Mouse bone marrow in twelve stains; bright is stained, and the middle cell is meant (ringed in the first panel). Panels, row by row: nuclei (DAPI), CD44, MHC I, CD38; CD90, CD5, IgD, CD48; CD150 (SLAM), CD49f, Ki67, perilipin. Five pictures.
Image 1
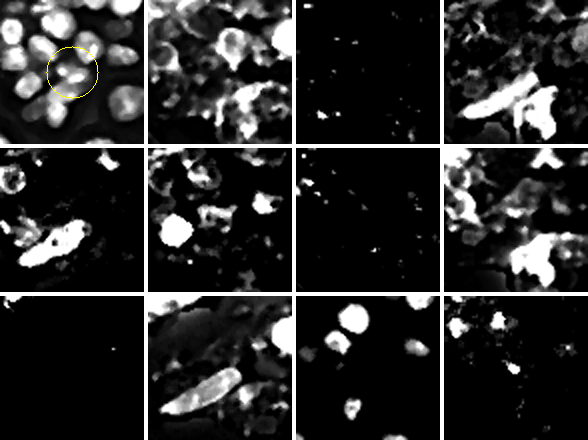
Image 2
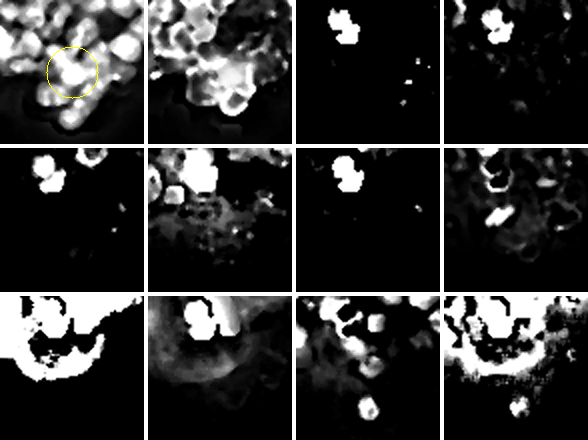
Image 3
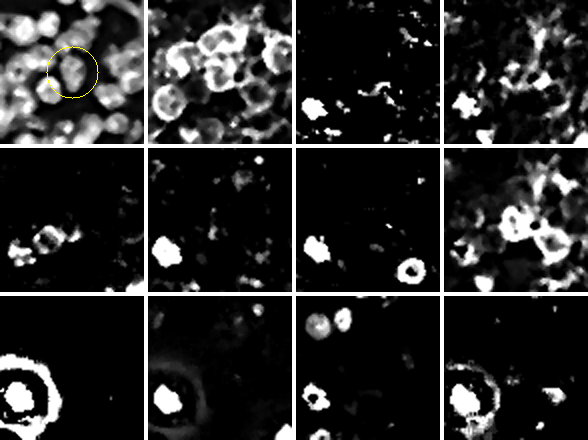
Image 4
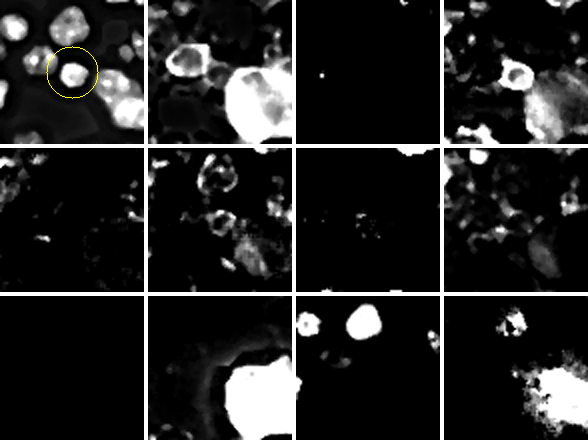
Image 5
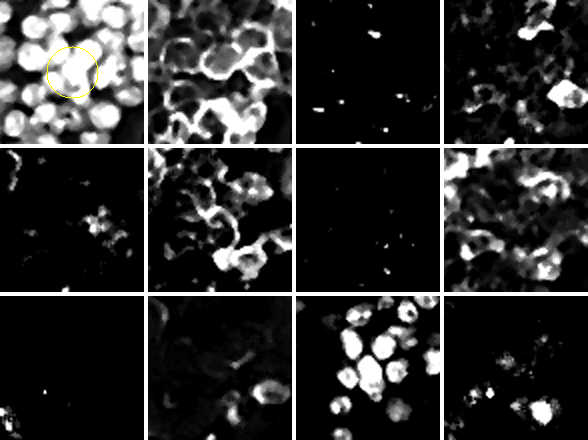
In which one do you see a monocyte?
In picture 3.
